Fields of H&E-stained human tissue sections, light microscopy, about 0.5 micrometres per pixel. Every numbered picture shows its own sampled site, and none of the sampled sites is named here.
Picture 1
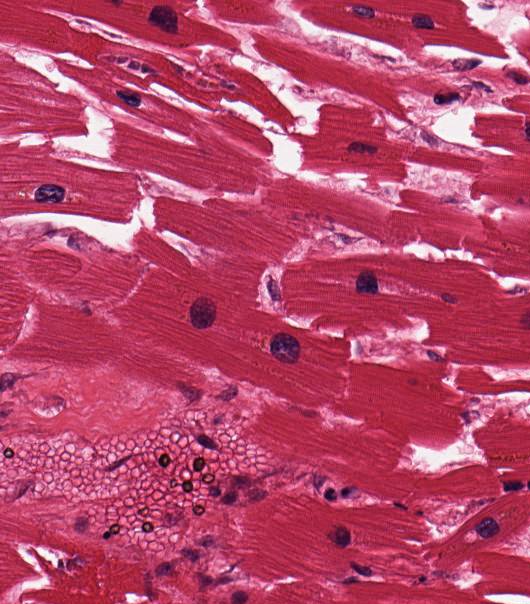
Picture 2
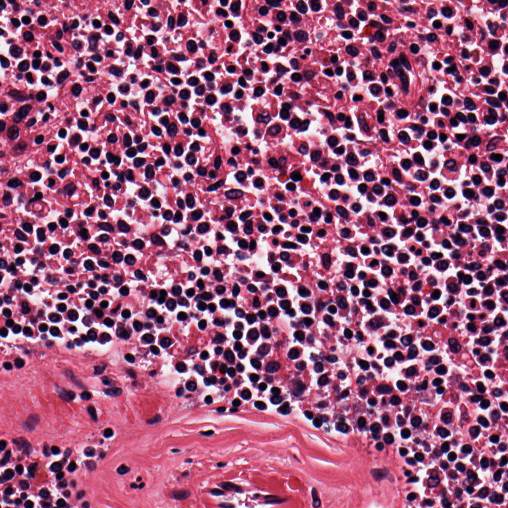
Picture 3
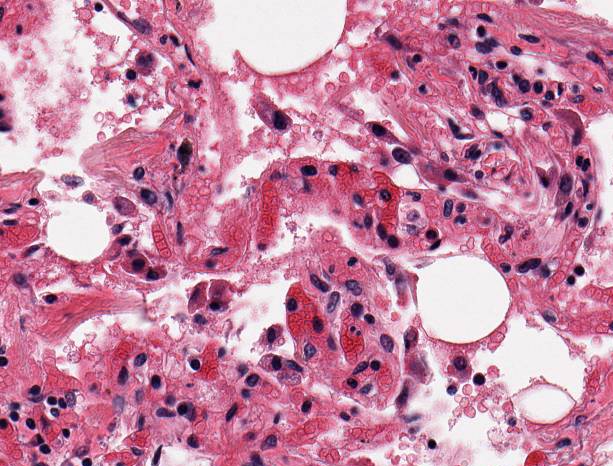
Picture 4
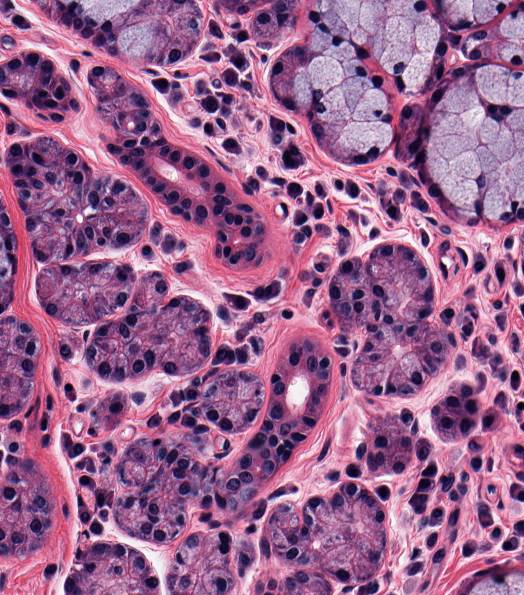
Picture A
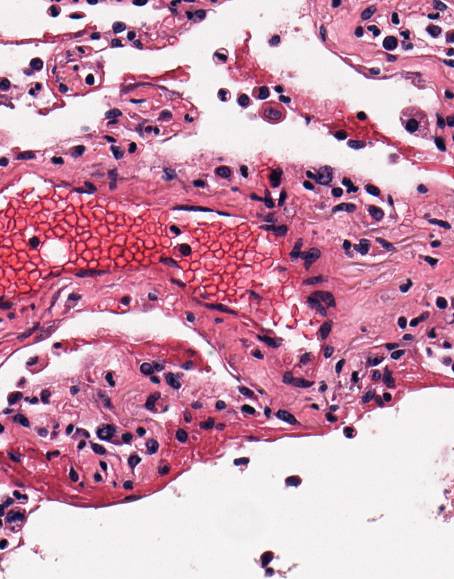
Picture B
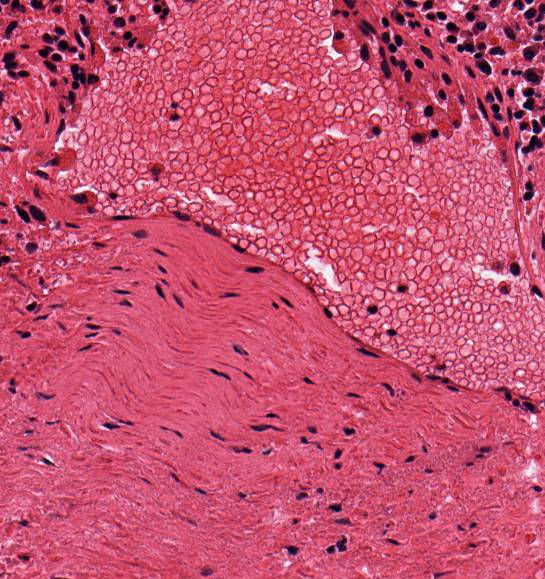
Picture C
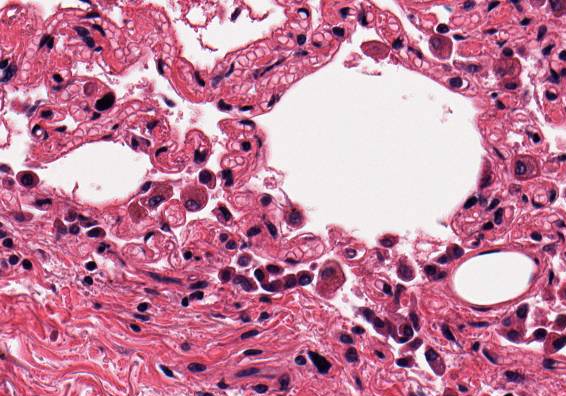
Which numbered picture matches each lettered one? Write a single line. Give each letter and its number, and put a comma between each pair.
A 3, B 2, C 3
